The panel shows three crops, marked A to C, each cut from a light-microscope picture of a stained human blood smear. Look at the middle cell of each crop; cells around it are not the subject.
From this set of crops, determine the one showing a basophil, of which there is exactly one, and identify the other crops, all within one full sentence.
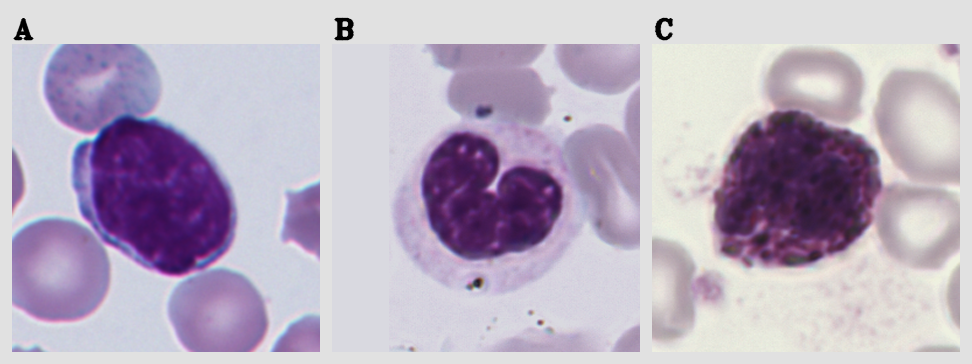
Crop C counts as a basophil, while crop A is a lymphocyte and crop B is a band neutrophil.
